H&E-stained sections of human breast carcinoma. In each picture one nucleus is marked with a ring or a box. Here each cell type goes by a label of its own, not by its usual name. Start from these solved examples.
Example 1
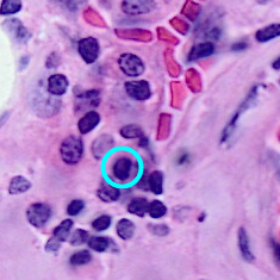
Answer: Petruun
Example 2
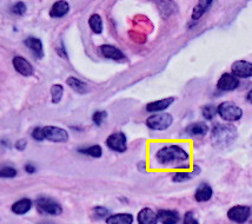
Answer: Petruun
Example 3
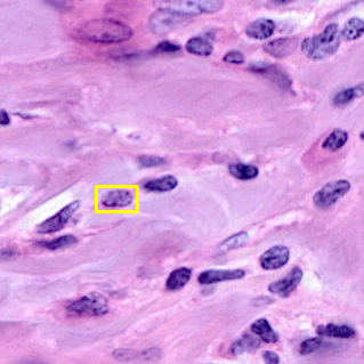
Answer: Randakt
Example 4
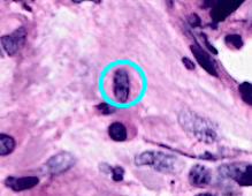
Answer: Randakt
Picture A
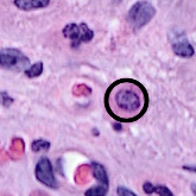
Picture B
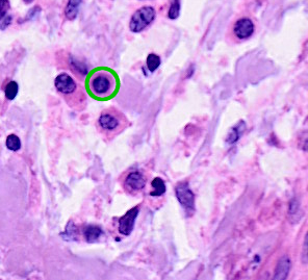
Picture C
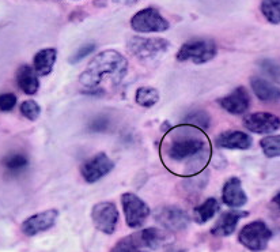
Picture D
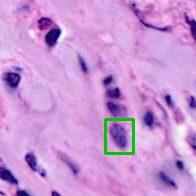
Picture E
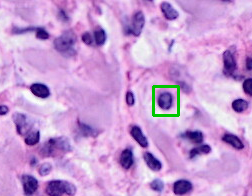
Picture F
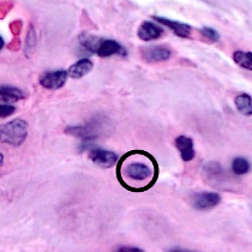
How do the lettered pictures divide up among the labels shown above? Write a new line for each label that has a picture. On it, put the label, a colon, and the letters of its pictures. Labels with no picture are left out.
Petruun: C
Randakt: A, B, D, E, F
